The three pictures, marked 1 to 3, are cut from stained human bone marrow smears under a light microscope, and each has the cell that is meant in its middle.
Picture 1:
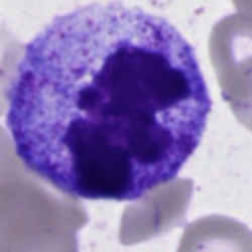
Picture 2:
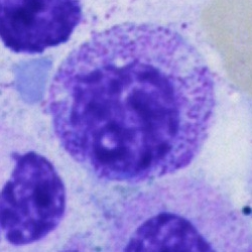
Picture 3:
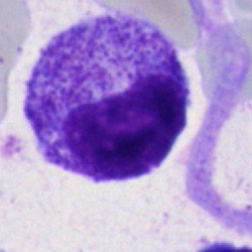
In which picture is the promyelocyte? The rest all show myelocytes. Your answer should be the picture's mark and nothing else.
1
